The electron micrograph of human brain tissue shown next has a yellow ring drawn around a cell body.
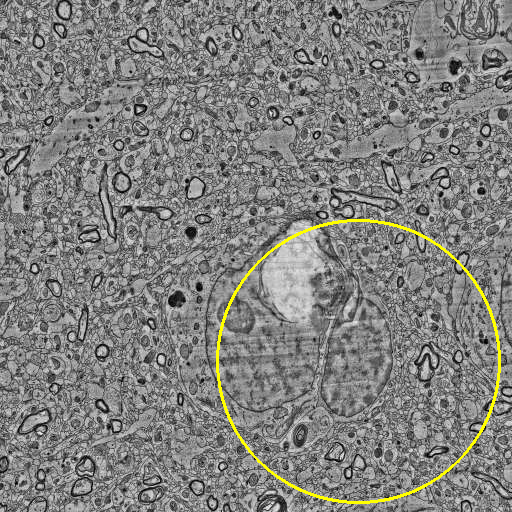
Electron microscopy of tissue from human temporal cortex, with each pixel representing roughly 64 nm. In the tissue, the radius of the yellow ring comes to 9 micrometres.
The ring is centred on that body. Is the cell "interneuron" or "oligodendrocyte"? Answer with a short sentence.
The cell in question is an oligodendrocyte.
